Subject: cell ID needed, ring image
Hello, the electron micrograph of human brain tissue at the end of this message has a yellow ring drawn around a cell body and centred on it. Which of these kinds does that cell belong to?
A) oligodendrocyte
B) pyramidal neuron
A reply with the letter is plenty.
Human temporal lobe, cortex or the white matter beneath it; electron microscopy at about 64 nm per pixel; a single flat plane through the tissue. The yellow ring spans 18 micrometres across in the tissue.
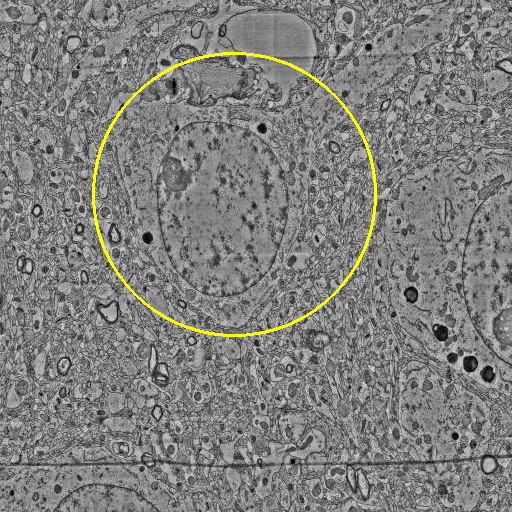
B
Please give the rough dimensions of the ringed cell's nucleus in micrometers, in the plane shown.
The nucleus of the ringed cell is approximately 11 by 8 micrometres in this plane.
